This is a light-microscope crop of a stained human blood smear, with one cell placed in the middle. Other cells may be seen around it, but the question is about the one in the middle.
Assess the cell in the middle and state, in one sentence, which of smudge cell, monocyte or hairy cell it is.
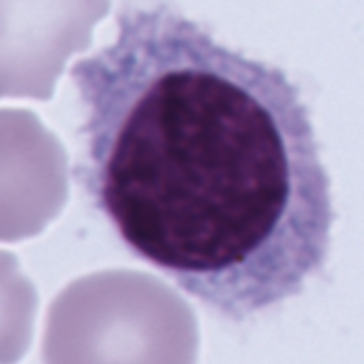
The cell around which this crop is centred is a hairy cell.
